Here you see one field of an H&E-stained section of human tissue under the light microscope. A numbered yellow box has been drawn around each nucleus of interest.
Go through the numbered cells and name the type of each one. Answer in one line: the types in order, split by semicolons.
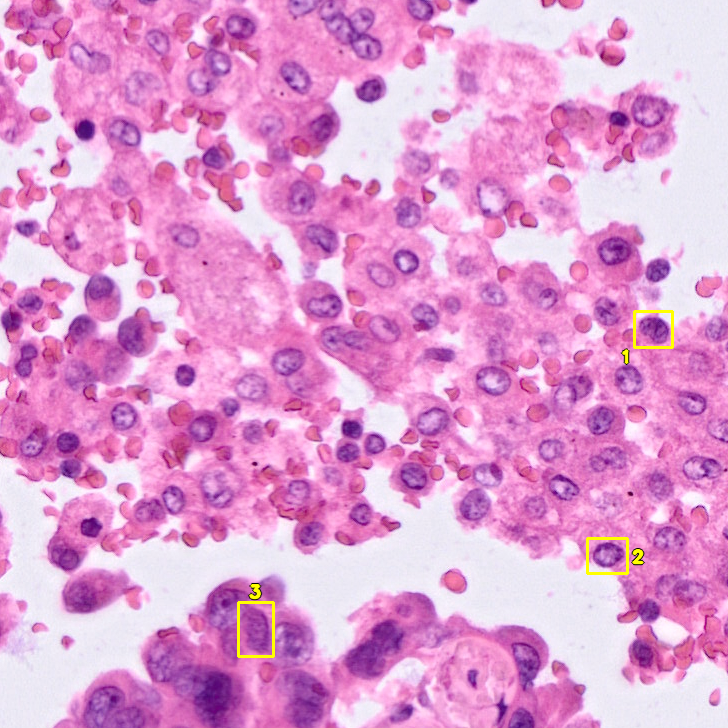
macrophage or monocyte; macrophage or monocyte; carcinoma cell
